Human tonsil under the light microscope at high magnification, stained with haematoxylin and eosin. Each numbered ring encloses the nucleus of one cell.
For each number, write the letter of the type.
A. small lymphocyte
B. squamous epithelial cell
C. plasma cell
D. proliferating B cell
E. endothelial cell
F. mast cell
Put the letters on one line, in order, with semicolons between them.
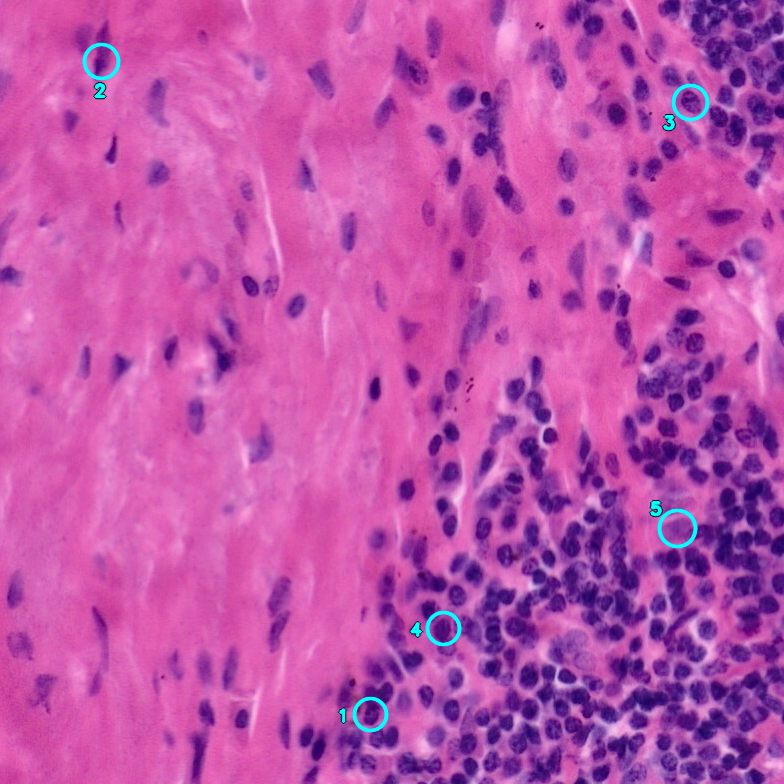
C; E; C; C; E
